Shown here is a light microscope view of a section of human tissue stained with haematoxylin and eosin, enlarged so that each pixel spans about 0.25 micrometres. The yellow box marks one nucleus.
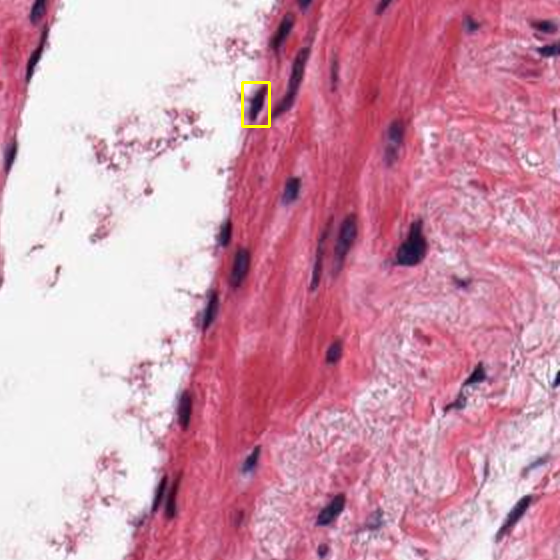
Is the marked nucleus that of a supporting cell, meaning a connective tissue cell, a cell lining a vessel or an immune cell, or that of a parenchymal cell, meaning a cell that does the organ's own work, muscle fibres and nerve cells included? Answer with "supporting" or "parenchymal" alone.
supporting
